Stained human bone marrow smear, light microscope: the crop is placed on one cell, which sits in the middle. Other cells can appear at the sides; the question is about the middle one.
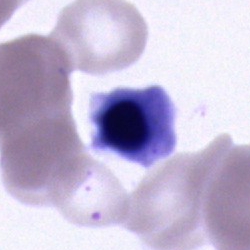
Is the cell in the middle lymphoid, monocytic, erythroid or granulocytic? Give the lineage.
erythroid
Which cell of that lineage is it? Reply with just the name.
erythroblast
